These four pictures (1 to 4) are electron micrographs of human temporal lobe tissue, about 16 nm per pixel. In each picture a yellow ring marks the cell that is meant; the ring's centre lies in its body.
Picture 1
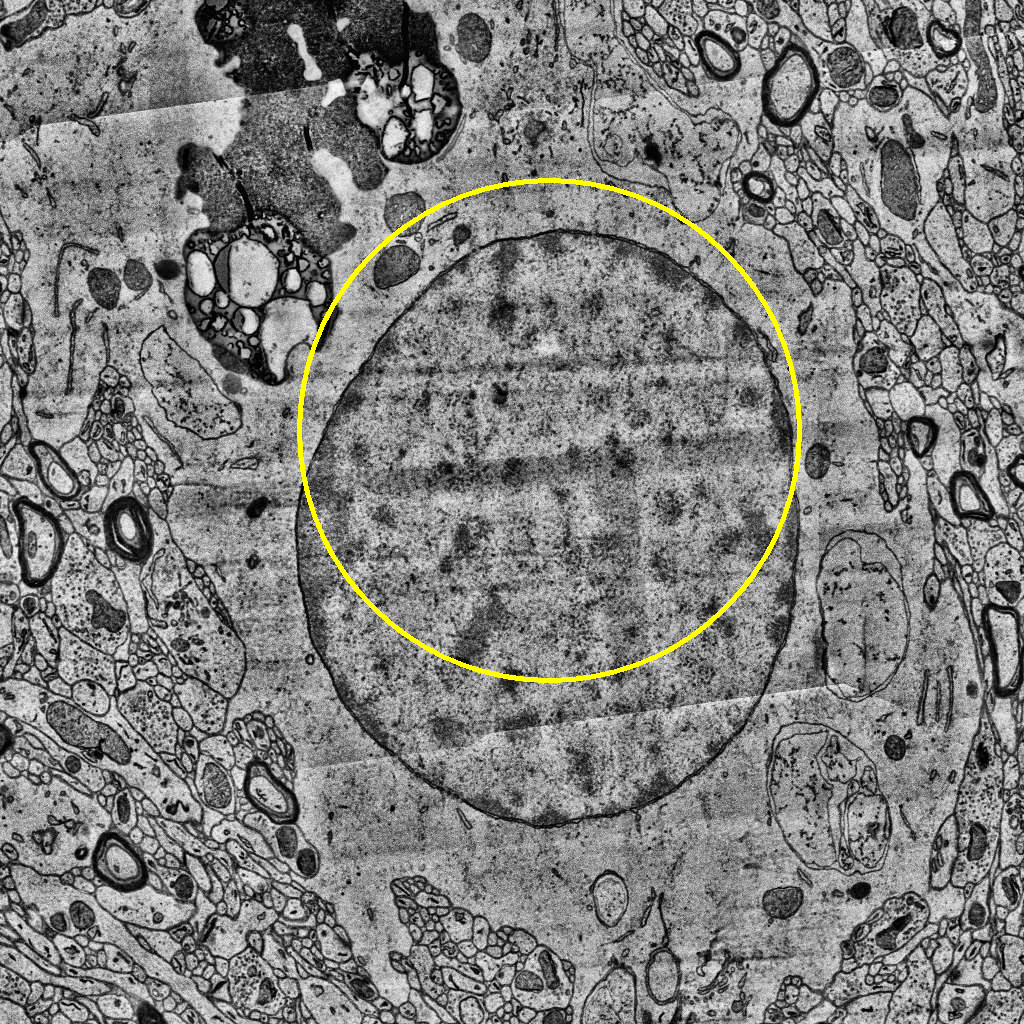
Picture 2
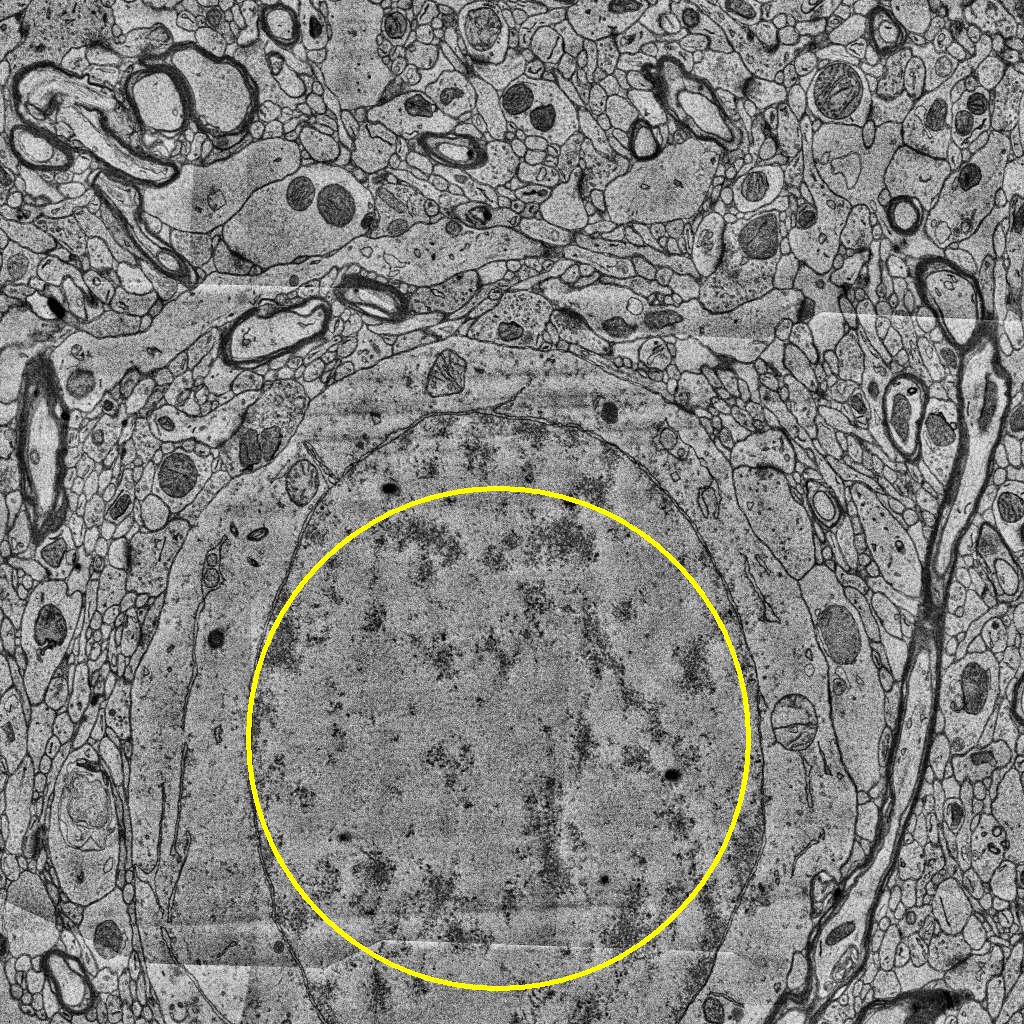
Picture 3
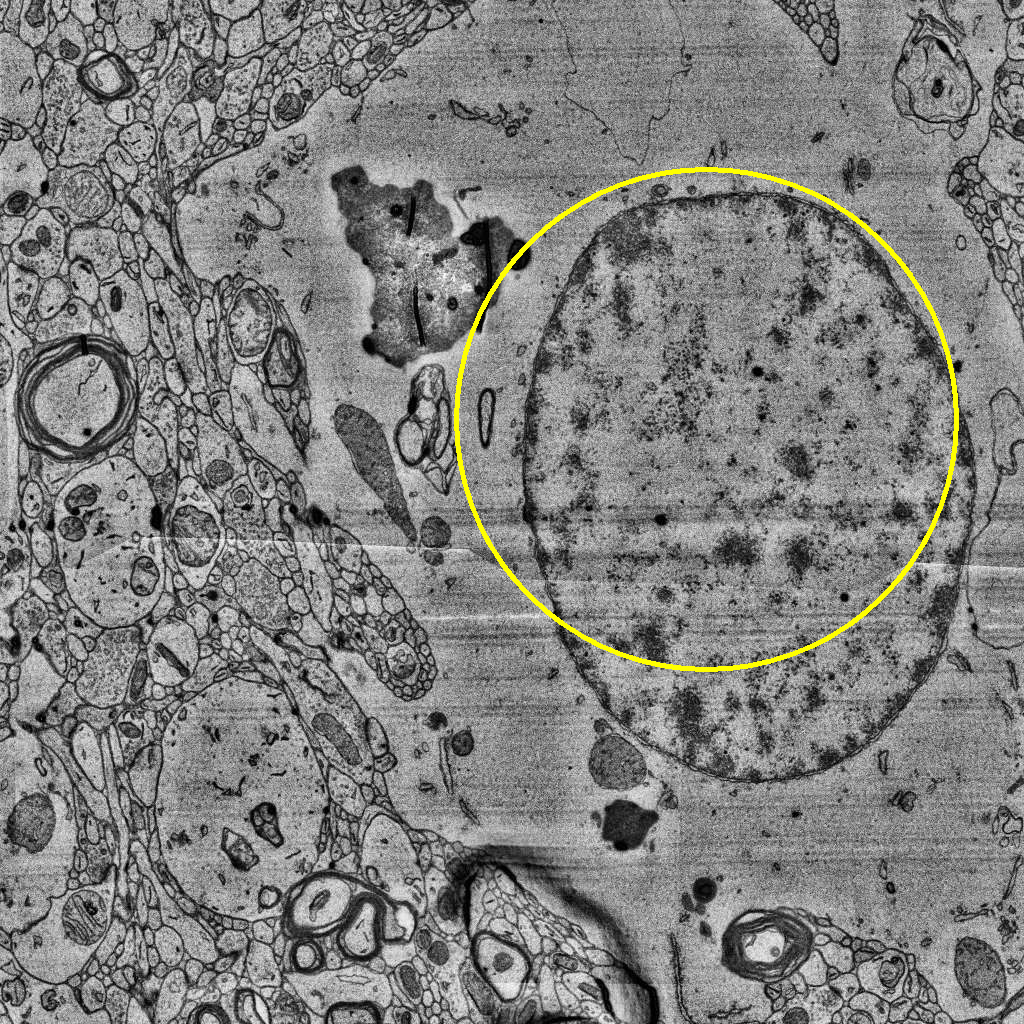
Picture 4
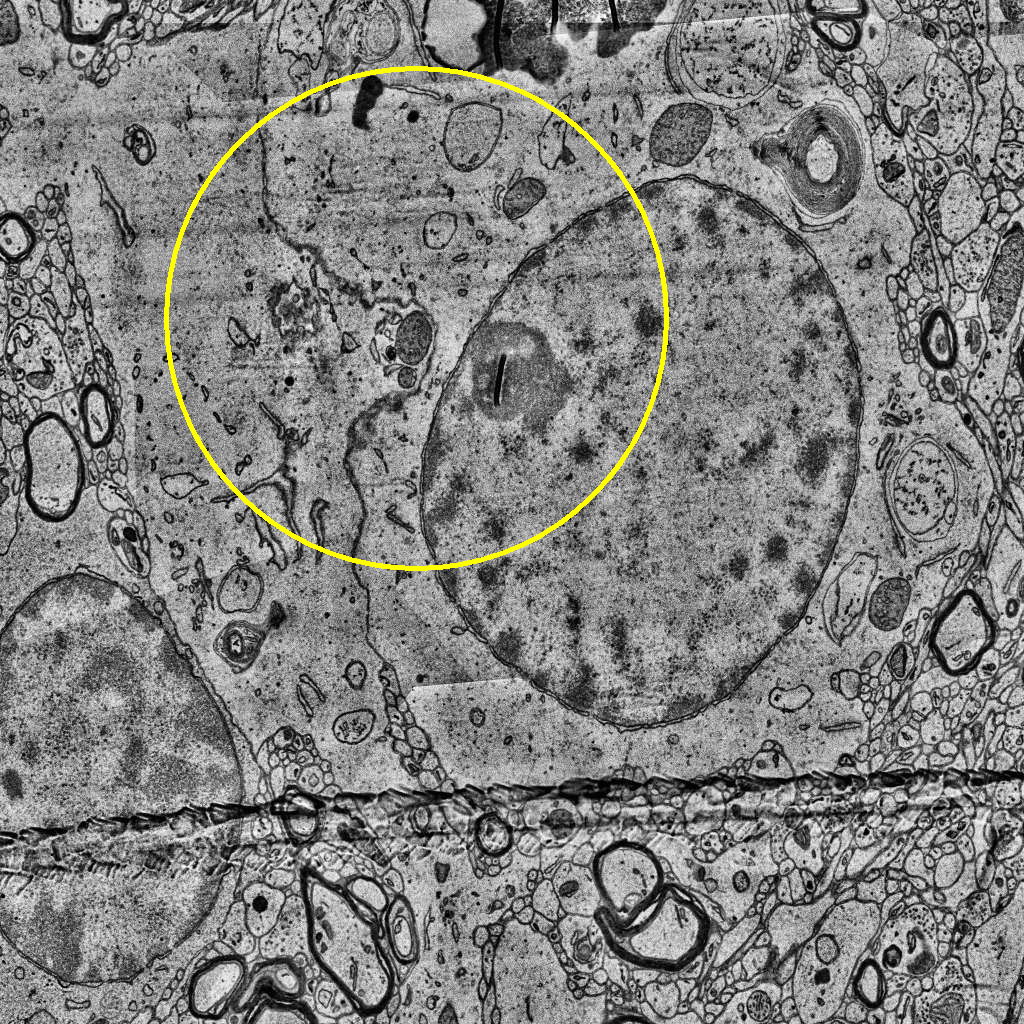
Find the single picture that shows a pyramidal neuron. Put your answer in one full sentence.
Picture 2 shows the pyramidal neuron.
